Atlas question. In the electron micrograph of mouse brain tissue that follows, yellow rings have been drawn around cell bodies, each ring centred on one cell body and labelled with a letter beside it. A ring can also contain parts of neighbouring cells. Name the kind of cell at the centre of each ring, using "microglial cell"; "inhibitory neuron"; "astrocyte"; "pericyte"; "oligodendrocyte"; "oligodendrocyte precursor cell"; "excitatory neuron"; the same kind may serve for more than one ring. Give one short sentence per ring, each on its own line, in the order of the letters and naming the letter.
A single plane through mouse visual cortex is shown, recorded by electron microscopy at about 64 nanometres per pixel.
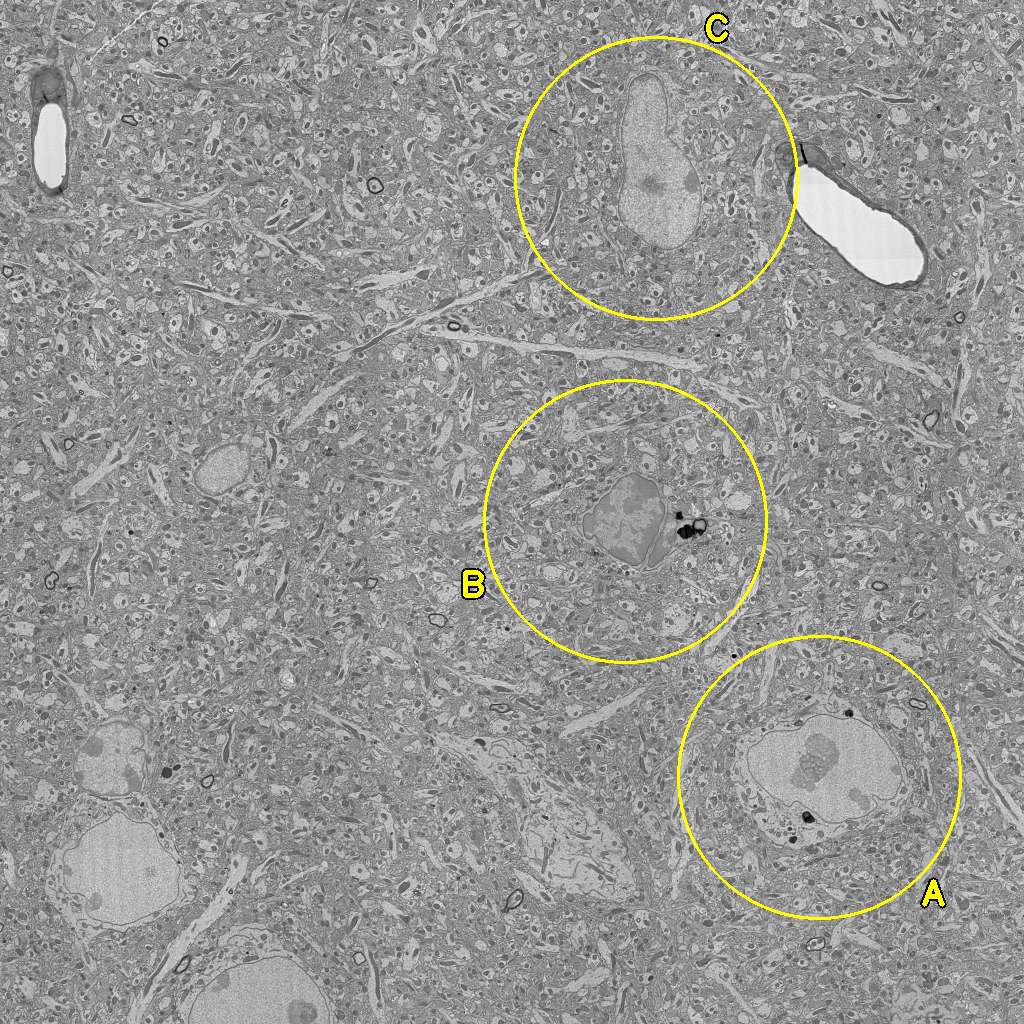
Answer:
For ring A, the cell at the centre is an excitatory neuron.
For ring B, the cell at the centre is a microglial cell.
For ring C, the cell at the centre is an astrocyte.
